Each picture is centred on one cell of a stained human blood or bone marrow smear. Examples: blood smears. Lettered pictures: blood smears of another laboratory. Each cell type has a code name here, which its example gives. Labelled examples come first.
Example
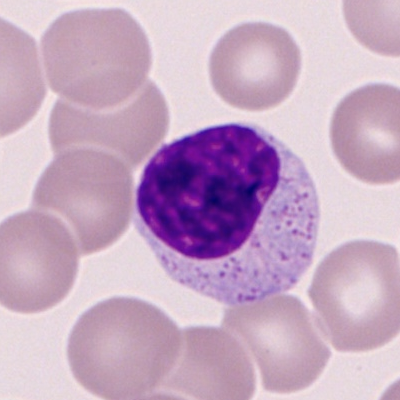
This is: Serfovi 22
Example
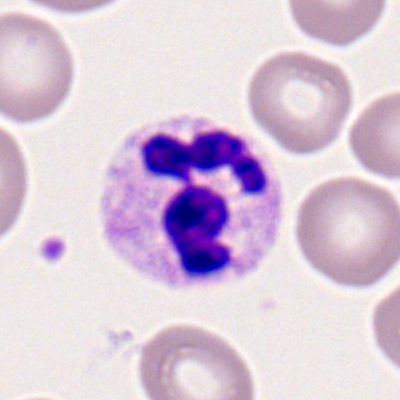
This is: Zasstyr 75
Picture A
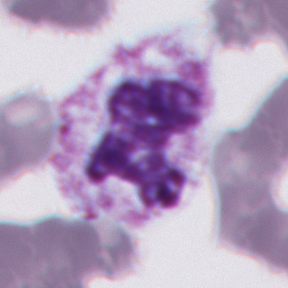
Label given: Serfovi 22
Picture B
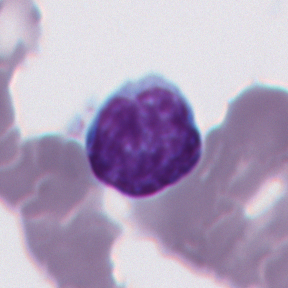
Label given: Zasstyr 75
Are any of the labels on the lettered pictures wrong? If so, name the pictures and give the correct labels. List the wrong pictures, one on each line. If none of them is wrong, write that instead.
A: change Serfovi 22 to Zasstyr 75
B: change Zasstyr 75 to Serfovi 22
